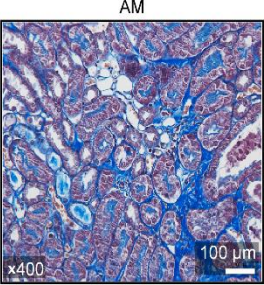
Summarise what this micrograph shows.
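Kidney cortex with closely packed tubules whose epithelial cells stain red to purple, but the spaces between many tubules are widened and filled with bright blue fibrous material. Several tubules appear dilated, with thinned, flattened lining cells and pale or empty lumina, and some contain blue-tinged material. Scattered small dark nuclei lie within the blue interstitium.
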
